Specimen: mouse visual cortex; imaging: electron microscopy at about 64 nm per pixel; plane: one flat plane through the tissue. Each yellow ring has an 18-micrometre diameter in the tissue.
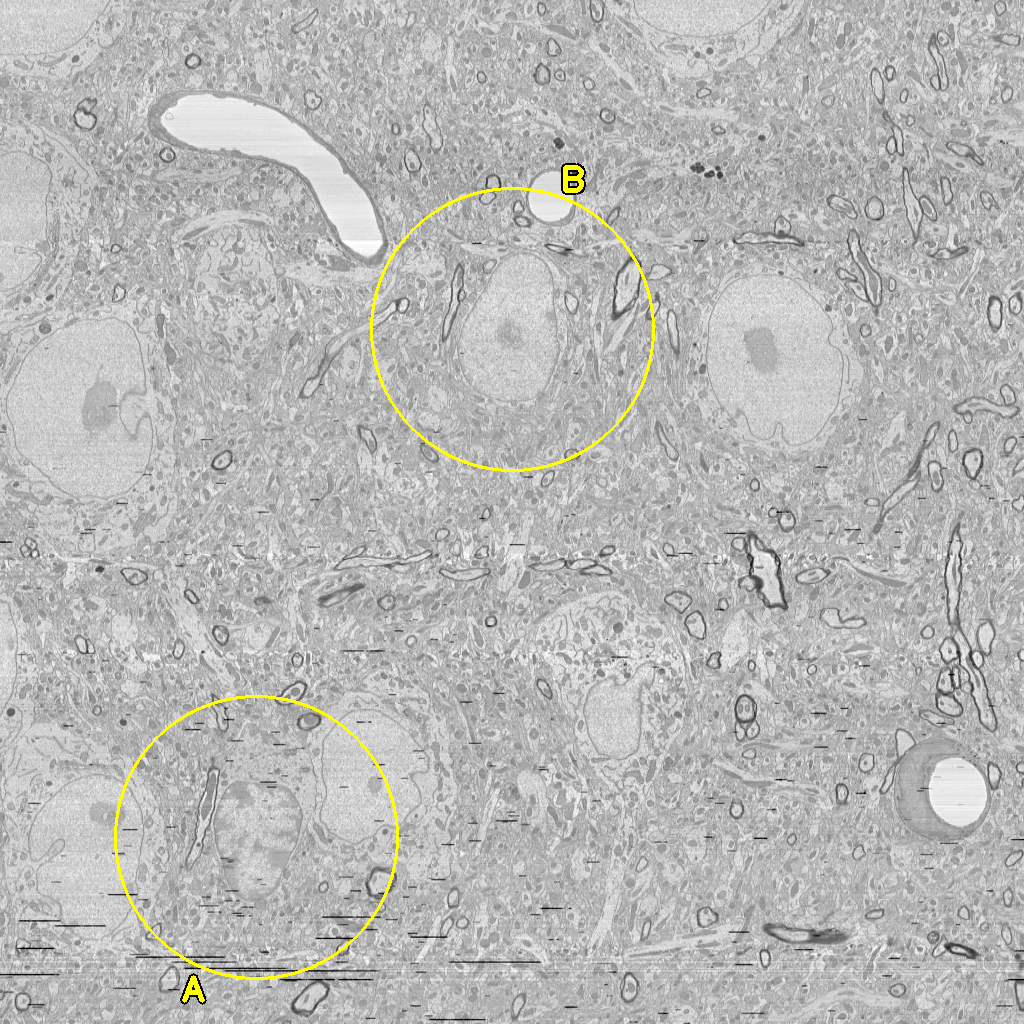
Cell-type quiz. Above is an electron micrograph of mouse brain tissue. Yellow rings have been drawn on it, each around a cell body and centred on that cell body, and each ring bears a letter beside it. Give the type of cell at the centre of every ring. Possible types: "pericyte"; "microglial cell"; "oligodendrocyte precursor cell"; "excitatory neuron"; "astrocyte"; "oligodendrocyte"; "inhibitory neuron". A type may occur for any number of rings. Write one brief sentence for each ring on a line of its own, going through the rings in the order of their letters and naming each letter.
Ring A is centred on the cell body of an oligodendrocyte.
Ring B is centred on the cell body of an astrocyte.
